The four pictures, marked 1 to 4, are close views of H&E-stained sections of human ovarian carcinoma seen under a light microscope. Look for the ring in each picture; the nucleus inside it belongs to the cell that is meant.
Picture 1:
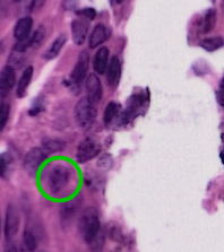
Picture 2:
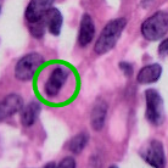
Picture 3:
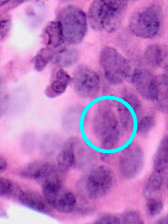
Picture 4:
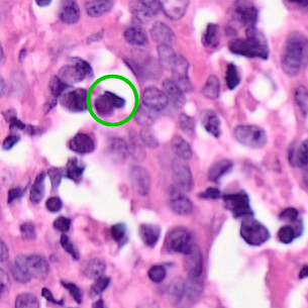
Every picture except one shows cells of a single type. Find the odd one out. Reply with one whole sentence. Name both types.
The different one is picture 2; it shows a “macrophage or monocyte”, whereas all the others show carcinoma cells.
